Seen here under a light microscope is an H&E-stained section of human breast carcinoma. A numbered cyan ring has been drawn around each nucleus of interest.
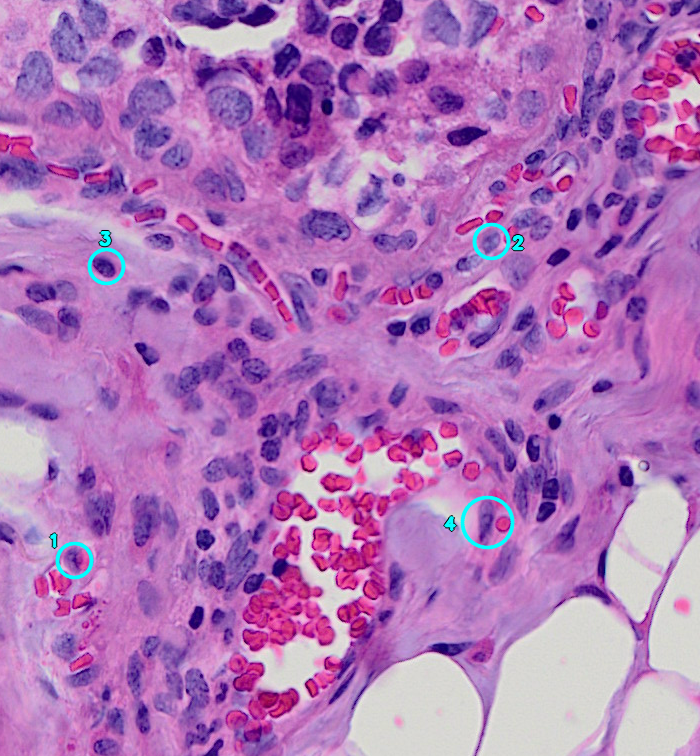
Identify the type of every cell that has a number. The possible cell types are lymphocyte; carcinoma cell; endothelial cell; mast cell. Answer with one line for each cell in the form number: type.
1: endothelial cell
2: endothelial cell
3: mast cell
4: endothelial cell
